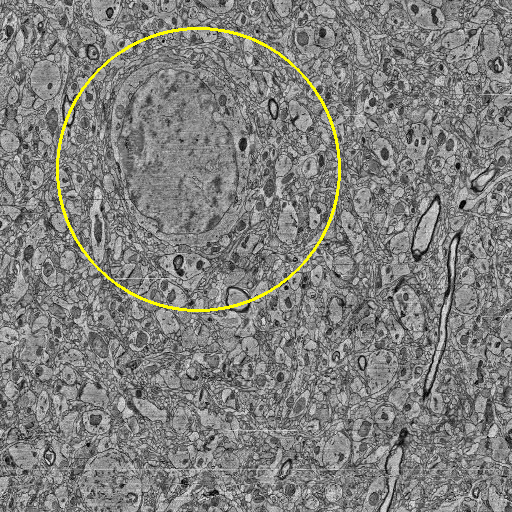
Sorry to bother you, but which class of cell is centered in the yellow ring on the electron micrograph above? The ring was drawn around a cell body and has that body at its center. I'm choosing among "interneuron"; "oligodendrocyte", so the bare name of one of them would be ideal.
interneuron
